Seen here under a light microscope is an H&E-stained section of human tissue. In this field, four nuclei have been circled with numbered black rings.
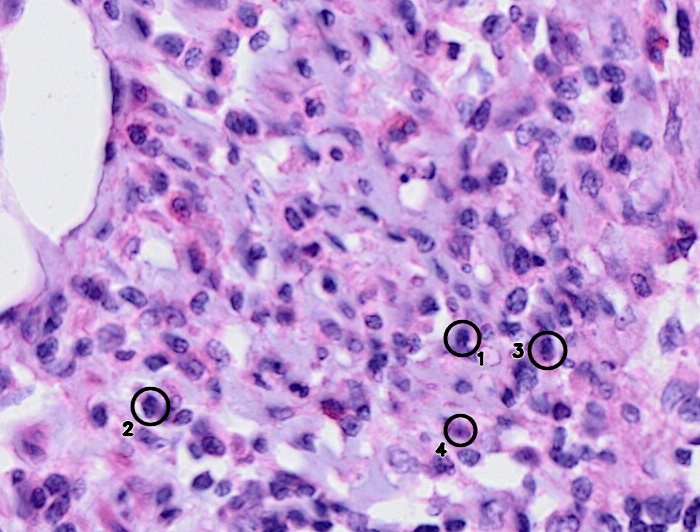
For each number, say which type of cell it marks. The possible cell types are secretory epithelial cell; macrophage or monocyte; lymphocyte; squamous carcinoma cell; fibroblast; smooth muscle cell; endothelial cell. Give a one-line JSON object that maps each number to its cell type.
{"1": "lymphocyte", "2": "lymphocyte", "3": "lymphocyte", "4": "macrophage or monocyte"}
